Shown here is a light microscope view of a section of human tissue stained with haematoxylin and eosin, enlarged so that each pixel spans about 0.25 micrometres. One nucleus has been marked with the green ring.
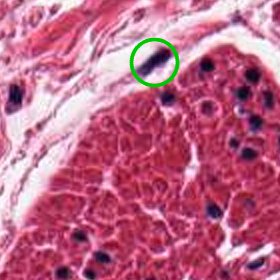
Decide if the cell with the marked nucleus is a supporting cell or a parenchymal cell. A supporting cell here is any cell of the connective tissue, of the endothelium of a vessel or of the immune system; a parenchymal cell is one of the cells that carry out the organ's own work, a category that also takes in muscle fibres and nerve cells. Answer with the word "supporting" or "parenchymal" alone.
supporting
